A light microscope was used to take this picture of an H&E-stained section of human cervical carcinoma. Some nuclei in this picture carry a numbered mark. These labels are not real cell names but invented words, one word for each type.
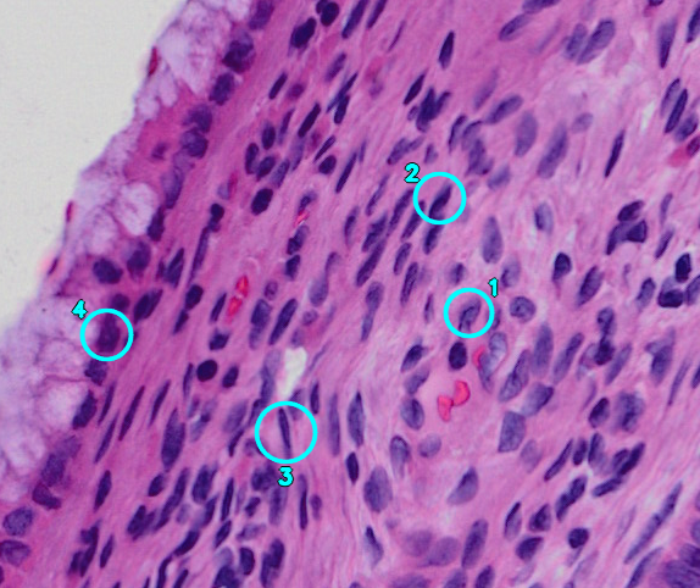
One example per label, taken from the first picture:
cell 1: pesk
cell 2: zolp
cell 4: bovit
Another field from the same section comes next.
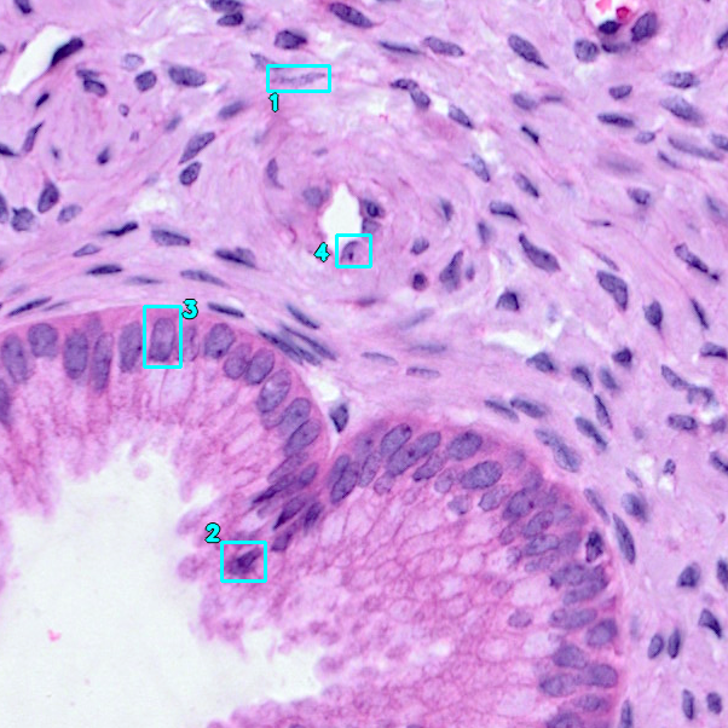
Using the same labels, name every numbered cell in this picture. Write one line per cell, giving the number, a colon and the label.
1: zolp
2: bovit
3: bovit
4: pesk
